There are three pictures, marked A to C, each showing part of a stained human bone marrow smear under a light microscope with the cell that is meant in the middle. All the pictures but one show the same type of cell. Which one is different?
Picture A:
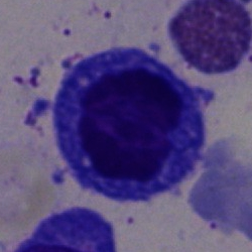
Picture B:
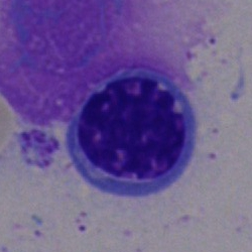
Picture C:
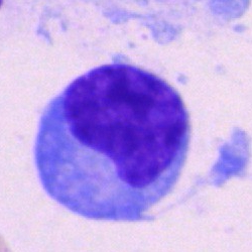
C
